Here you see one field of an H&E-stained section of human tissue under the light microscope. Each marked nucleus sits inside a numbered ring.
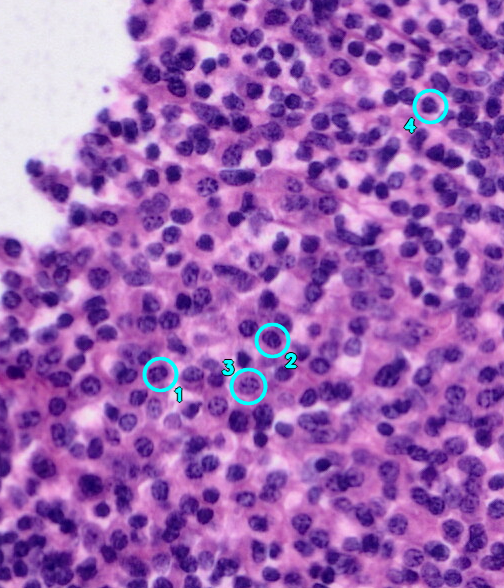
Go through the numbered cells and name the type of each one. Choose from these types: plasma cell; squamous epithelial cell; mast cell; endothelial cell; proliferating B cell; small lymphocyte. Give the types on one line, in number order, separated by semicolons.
plasma cell; plasma cell; plasma cell; small lymphocyte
